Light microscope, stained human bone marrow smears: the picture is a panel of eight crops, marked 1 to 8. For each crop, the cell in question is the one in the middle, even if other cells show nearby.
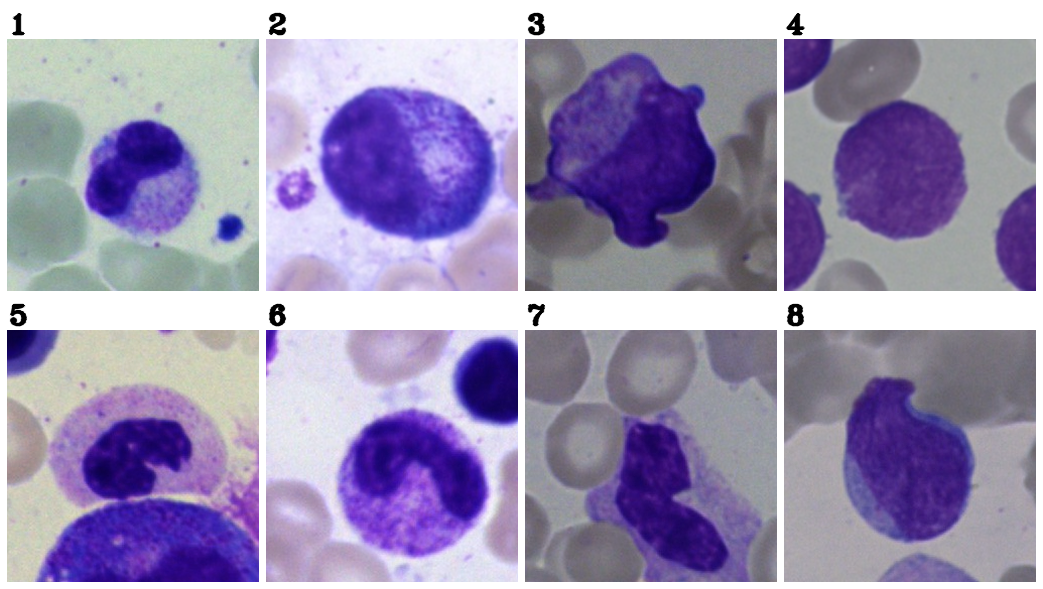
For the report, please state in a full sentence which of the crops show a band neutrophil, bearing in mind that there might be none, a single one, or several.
Depicted at the centre of crops 1, 5, 6 and 7 are band neutrophils.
